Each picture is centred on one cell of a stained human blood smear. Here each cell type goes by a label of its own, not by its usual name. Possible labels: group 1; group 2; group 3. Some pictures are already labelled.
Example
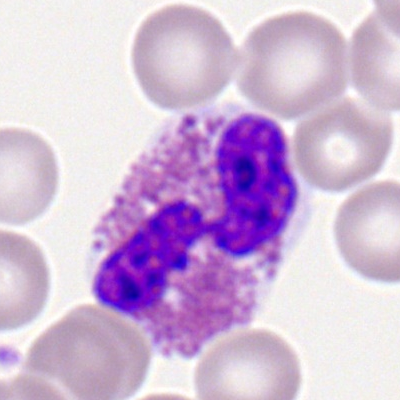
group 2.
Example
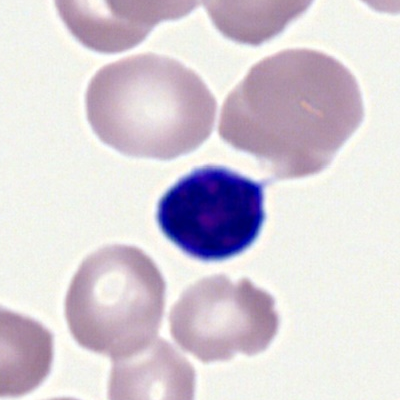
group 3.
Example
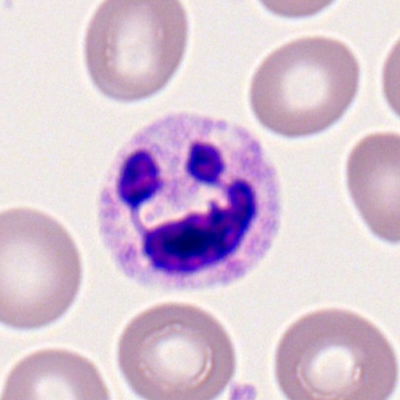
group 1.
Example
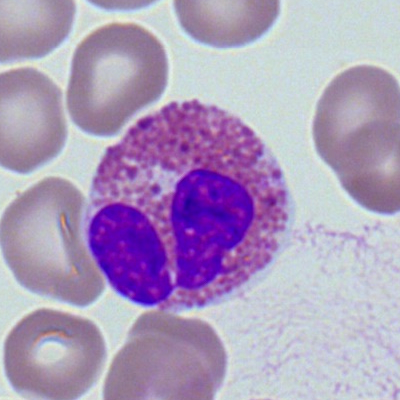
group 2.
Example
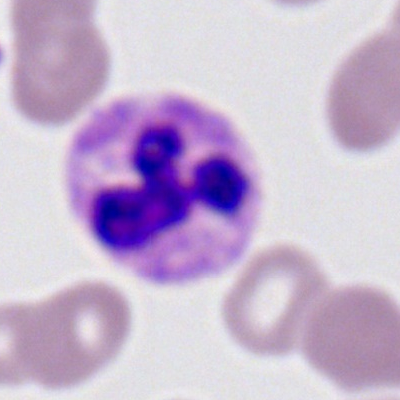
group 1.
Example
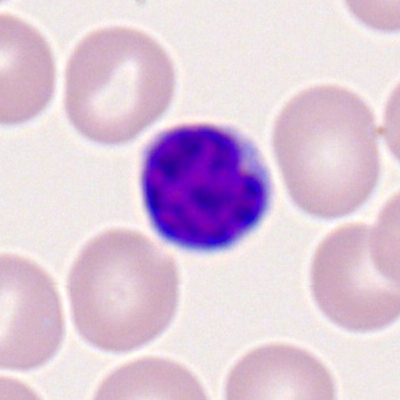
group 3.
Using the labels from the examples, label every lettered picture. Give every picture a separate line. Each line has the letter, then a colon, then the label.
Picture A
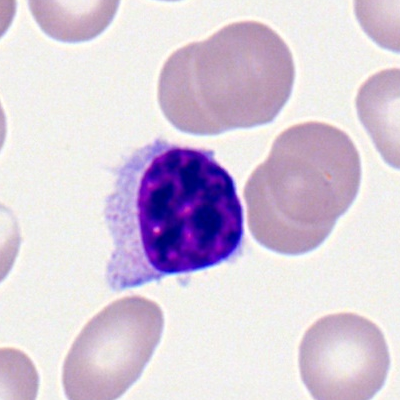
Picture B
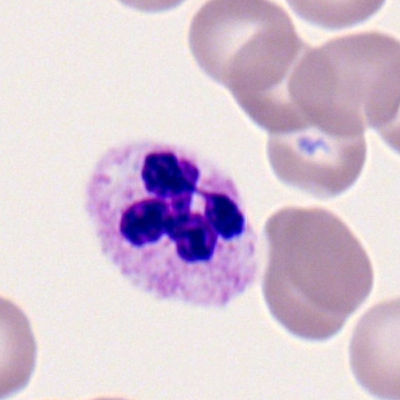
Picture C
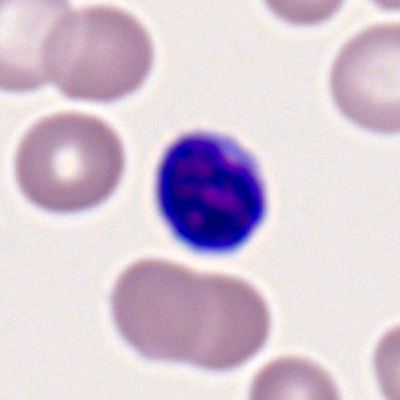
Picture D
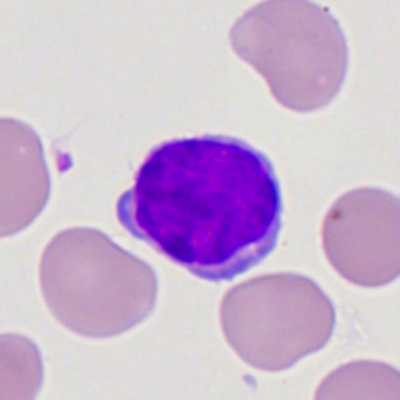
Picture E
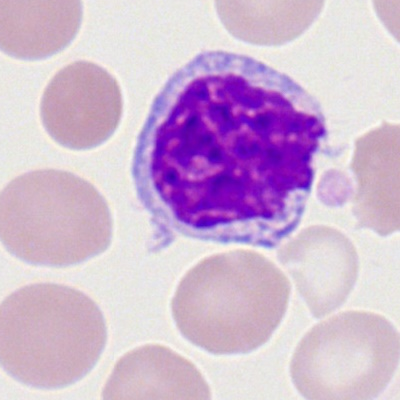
A: group 3.
B: group 1.
C: group 3.
D: group 3.
E: group 3.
